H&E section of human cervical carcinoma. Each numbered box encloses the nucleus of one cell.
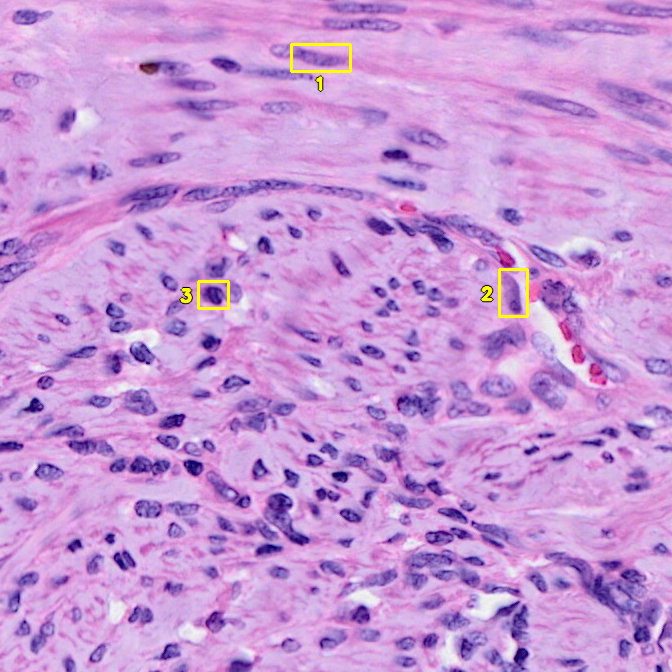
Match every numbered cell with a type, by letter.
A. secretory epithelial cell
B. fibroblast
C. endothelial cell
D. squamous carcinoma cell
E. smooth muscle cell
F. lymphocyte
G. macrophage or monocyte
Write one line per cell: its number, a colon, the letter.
1: E
2: C
3: F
